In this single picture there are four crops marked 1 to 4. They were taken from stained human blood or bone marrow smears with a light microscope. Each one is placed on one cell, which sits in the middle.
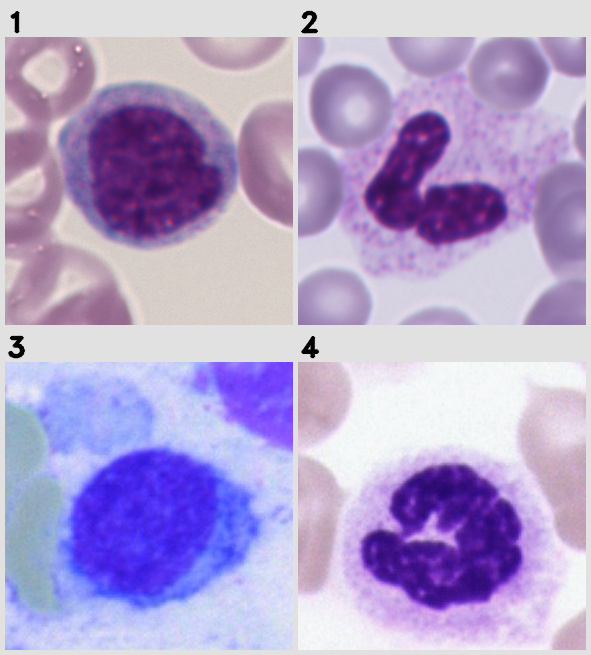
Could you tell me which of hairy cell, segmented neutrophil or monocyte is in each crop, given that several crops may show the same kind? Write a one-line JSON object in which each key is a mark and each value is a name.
{"1": "monocyte", "2": "segmented neutrophil", "3": "hairy cell", "4": "segmented neutrophil"}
